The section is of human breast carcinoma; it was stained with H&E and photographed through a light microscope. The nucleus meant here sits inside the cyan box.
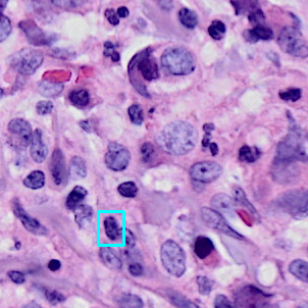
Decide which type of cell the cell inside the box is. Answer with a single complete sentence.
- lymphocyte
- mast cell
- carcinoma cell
The cell inside the box is a lymphocyte.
